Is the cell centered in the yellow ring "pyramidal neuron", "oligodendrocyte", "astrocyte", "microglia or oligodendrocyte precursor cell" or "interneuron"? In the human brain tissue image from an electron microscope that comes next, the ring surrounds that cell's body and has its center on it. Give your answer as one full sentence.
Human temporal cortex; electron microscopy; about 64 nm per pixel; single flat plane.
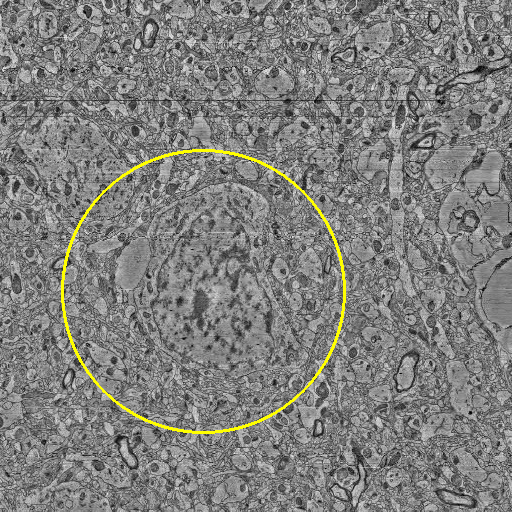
The cell at the center of the yellow ring is an interneuron in the micrograph.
